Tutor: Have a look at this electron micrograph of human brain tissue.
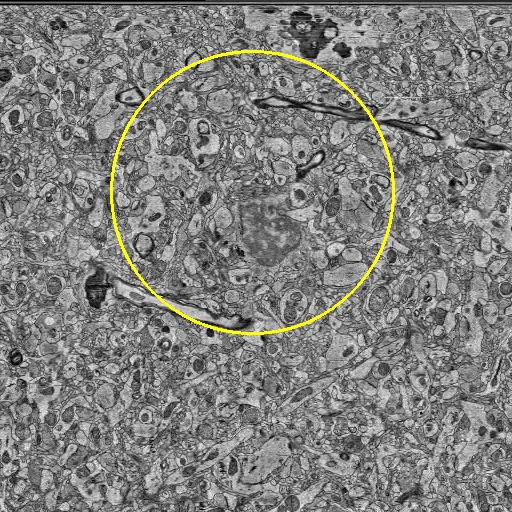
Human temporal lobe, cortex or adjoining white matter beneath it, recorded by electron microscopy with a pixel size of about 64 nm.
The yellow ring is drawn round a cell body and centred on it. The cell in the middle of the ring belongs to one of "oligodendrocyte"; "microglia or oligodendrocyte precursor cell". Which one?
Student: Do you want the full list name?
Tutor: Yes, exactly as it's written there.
oligodendrocyte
